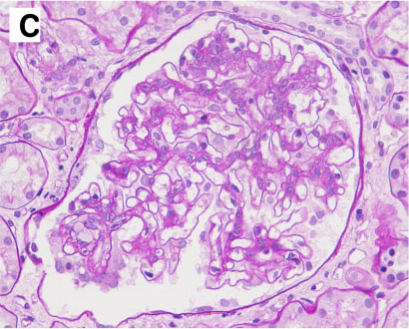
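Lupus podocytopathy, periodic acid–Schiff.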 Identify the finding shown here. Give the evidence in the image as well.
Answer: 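Tip lesion. A segment of the tuft at the lower left is consolidated and abuts Bowman's capsule. The rest of the tuft has open capillary loops.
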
